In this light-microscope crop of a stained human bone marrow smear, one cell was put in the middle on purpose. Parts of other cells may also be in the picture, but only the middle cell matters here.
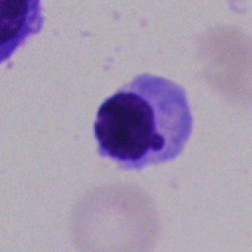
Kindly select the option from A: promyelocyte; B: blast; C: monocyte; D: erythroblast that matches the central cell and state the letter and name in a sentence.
For this crop, option D is right, the centered cell being an erythroblast.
